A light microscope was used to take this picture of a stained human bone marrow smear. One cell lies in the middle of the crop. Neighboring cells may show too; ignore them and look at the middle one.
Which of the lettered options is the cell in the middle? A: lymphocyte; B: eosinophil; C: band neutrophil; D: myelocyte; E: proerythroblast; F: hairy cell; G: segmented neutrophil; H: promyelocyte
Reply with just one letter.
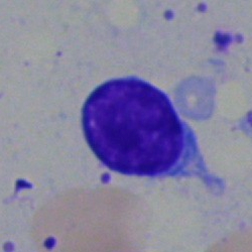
A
